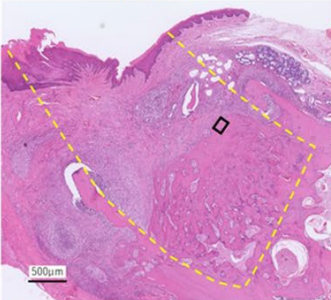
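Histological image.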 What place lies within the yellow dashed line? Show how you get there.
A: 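Tooth extraction socket. The dashed line encloses a region below the surface epithelium.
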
